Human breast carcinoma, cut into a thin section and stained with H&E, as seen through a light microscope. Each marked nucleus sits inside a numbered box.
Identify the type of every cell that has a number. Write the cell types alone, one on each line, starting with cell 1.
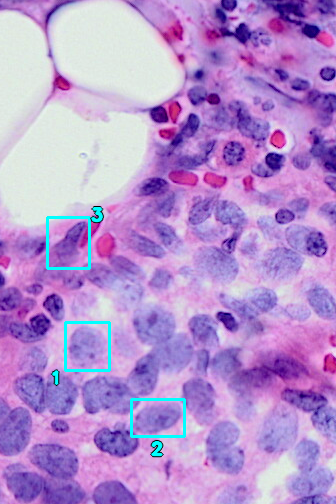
carcinoma cell
carcinoma cell
endothelial cell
